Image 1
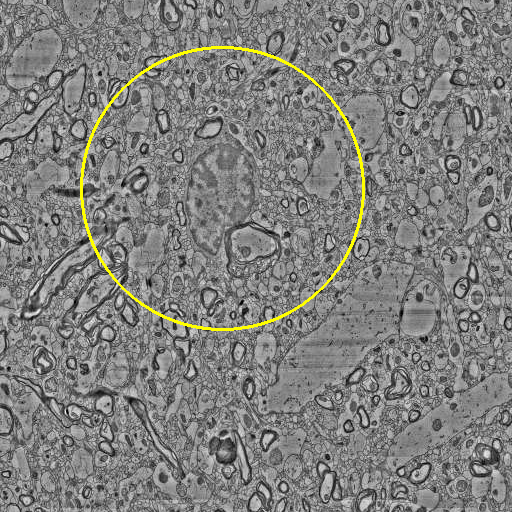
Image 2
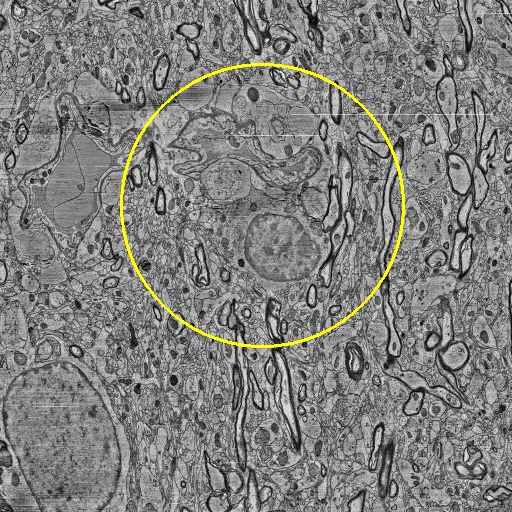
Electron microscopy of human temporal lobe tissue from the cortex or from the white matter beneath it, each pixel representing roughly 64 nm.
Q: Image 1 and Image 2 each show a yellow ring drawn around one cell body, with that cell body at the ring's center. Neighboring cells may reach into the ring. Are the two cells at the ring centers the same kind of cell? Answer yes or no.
yes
